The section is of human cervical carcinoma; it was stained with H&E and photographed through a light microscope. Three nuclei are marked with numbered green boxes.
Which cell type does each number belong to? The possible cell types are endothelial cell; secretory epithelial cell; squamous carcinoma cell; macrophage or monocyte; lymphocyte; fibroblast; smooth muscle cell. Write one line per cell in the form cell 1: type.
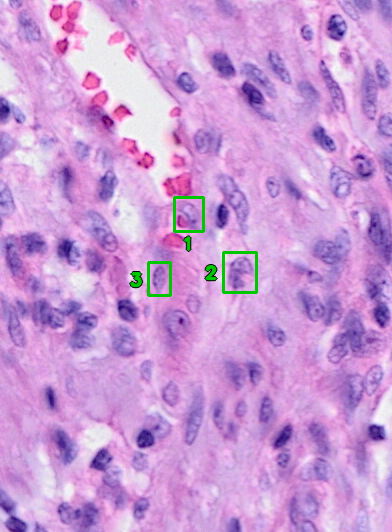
cell 1: endothelial cell
cell 2: macrophage or monocyte
cell 3: endothelial cell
